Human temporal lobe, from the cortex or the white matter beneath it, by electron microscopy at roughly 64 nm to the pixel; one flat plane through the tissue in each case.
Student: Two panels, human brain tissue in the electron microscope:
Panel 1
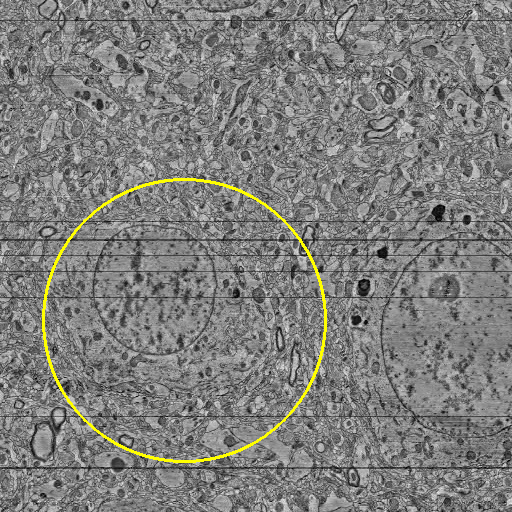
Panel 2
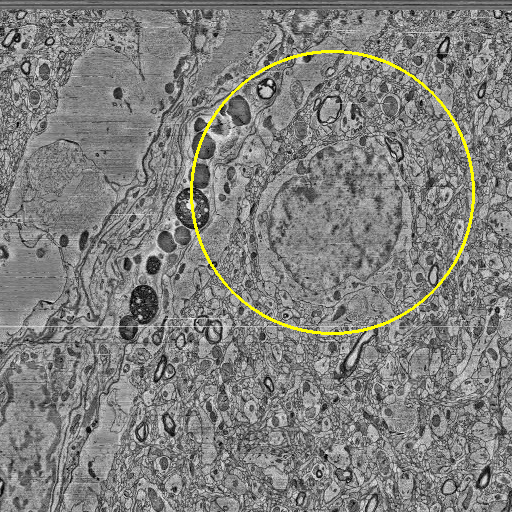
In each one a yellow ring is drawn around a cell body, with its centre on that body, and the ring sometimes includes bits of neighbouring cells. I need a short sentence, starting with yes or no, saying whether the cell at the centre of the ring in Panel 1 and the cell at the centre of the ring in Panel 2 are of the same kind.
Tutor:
No, they are two kinds of cell.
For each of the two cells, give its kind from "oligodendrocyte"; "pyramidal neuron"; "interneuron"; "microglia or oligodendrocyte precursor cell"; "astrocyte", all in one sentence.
The first picture has a pyramidal neuron in its ring, the second has an interneuron.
